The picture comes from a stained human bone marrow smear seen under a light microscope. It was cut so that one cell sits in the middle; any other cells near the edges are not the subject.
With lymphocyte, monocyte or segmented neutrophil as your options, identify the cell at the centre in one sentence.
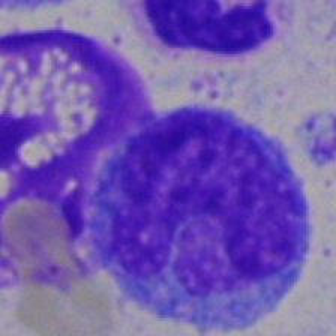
At the center of the crop sits a monocyte.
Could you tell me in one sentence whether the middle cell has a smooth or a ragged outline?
The margin of this cell is irregular, showing raggedness or projections instead of smoothness.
